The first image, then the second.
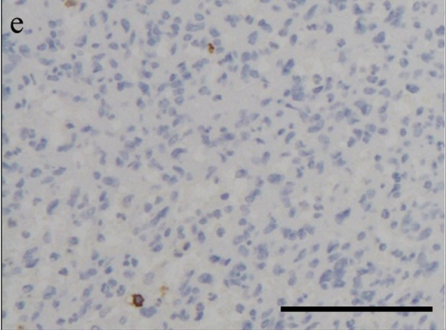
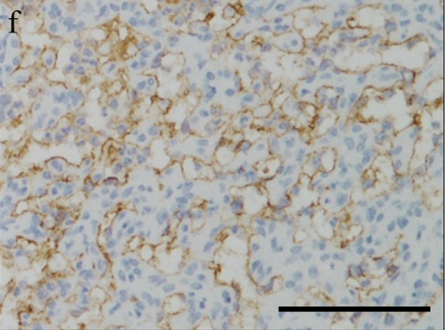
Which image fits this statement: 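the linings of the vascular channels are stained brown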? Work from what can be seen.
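Second image: brown stain outlines a network of channel linings. First image: channel linings are unstained, with only scattered brown single cells. That points to this answer: the second image.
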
